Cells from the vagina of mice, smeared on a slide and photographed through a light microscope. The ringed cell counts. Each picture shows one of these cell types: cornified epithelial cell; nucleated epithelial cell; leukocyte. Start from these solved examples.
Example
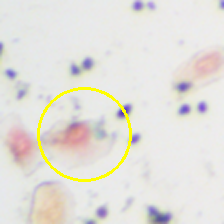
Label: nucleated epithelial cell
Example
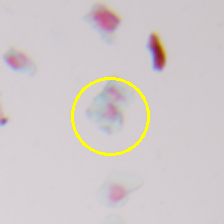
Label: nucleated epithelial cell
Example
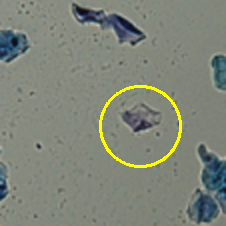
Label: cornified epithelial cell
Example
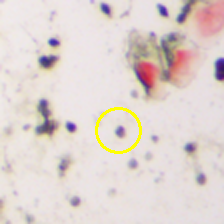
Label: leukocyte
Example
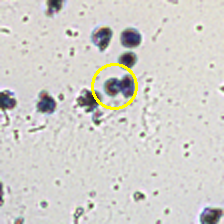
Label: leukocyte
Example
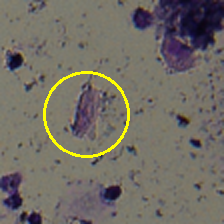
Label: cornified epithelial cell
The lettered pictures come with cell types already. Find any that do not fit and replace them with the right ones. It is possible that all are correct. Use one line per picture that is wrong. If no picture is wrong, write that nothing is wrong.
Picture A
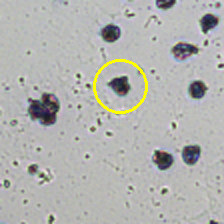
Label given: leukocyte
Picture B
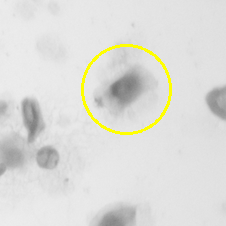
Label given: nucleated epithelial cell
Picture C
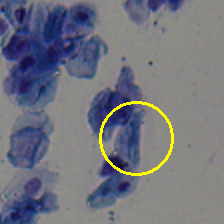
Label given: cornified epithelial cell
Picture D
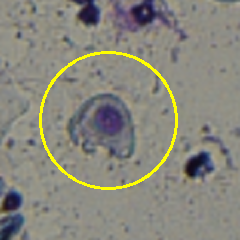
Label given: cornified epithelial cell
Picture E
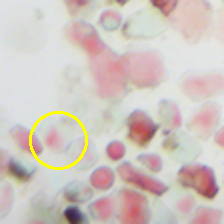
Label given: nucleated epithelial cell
Wrong: D (cornified epithelial cell); correct: nucleated epithelial cell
